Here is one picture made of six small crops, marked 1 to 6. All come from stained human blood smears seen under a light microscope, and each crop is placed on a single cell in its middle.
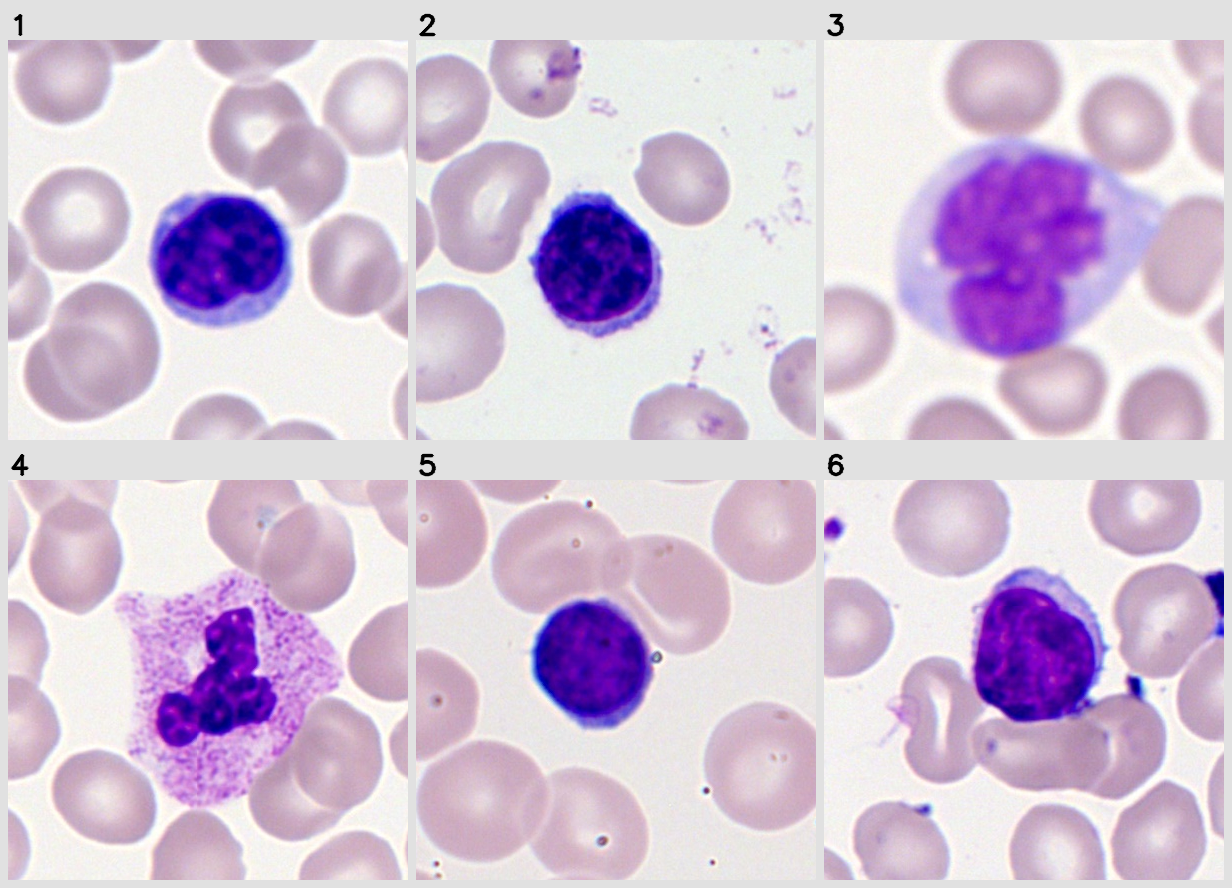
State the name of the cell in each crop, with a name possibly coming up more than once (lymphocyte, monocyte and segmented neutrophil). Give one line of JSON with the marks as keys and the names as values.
{"1": "lymphocyte", "2": "lymphocyte", "3": "monocyte", "4": "segmented neutrophil", "5": "lymphocyte", "6": "lymphocyte"}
